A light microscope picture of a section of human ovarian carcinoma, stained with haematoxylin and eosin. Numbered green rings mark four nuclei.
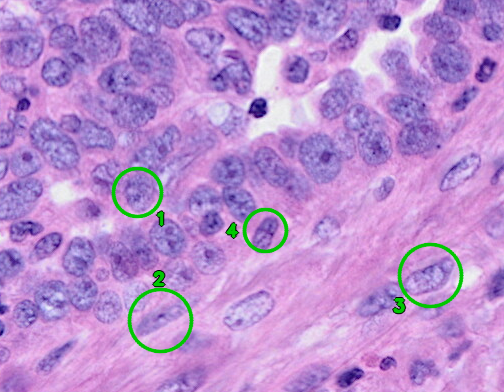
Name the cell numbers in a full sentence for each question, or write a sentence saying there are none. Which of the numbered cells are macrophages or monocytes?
Just one numbered cell is a macrophage or monocyte, and that cell is number 4.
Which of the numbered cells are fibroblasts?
The cells to which the numbers 2 and 3 refer are fibroblasts.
